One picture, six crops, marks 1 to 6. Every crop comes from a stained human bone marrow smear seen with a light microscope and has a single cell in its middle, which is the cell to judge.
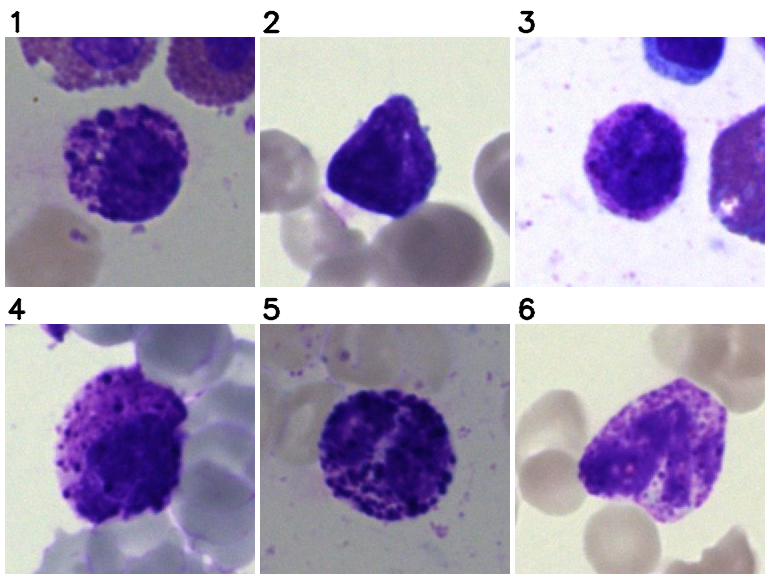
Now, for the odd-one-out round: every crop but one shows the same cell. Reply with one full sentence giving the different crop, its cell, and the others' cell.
All the crops show basophils except crop 2, which shows a lymphocyte.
